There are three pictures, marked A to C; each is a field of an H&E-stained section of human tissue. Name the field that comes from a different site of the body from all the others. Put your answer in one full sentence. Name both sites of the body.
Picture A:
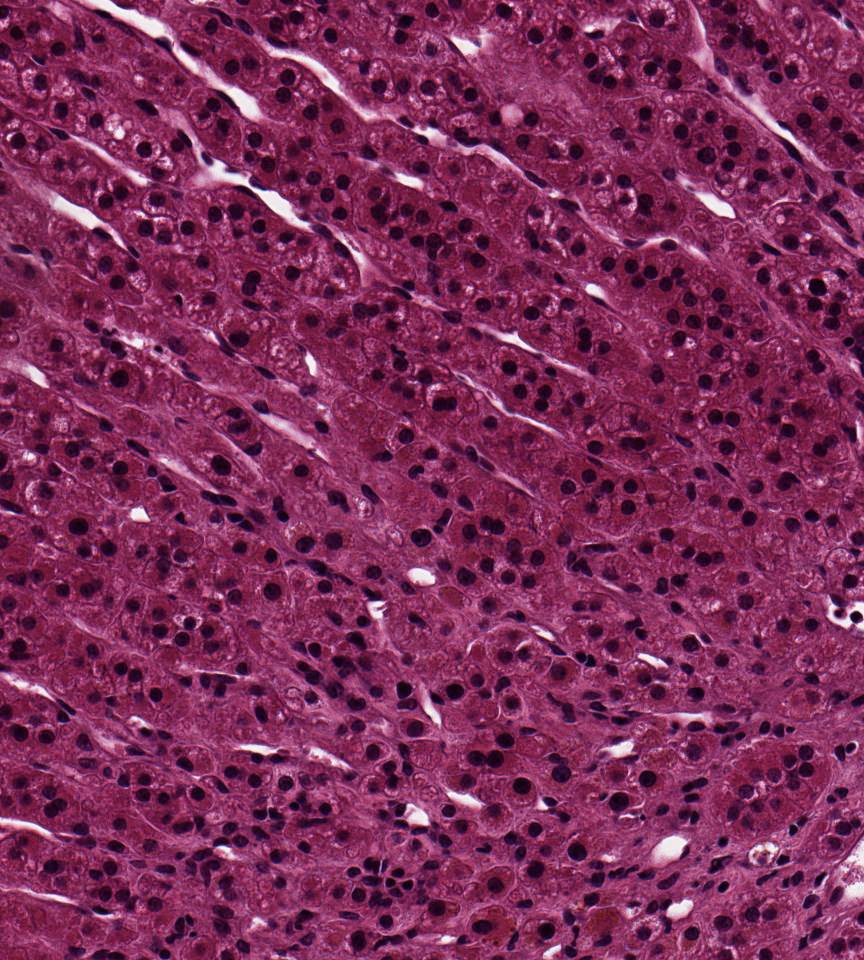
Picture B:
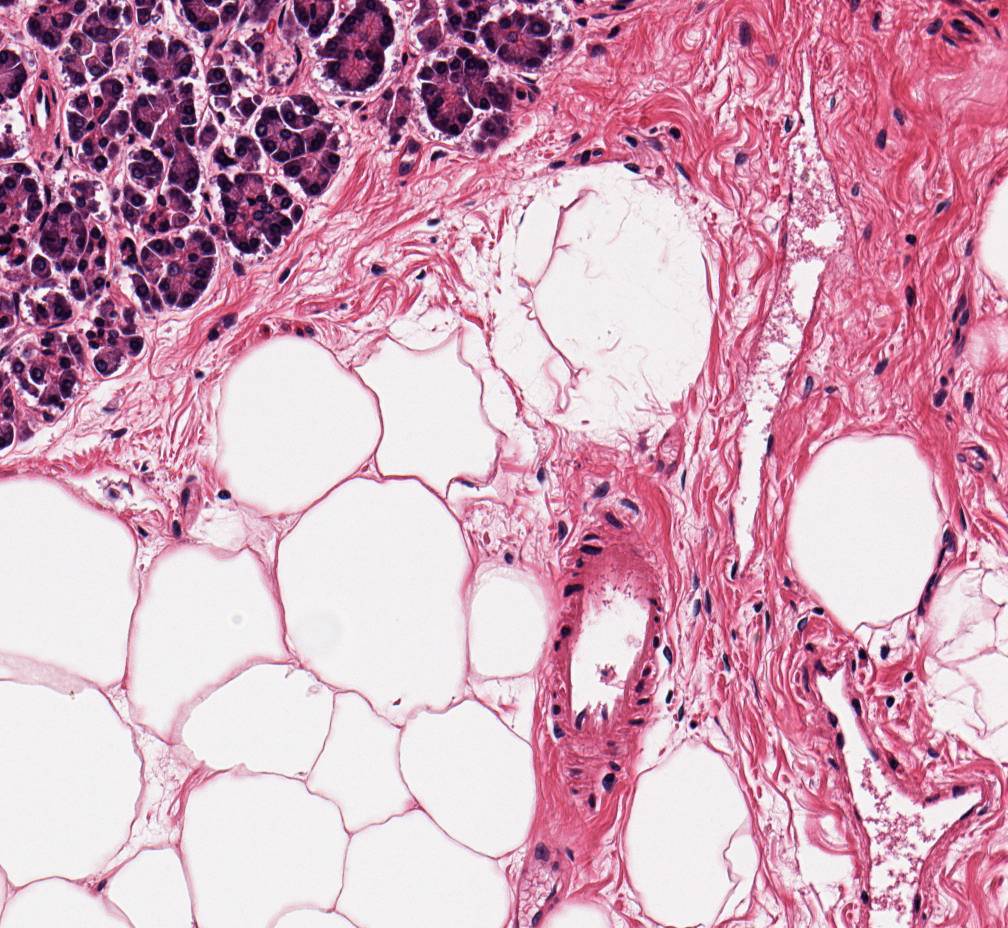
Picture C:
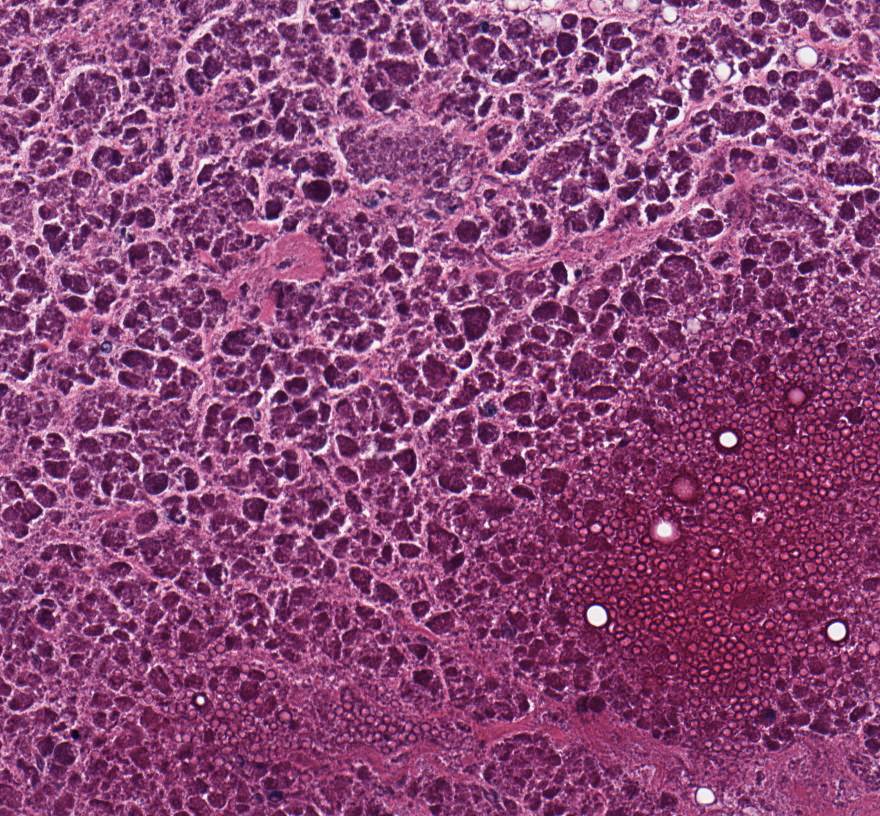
Picture A is the odd one out: it comes from the adrenal gland, while the others come from the pancreas.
